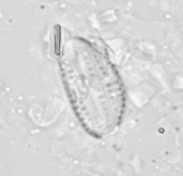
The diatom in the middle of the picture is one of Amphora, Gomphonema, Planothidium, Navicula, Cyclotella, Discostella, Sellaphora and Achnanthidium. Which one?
Amphora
